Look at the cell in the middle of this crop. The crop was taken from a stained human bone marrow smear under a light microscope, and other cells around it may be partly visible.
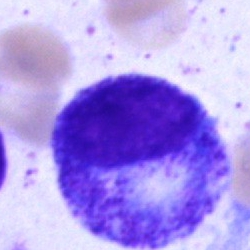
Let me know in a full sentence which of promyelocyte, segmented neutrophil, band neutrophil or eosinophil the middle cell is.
By classification, the middle cell of this crop is a promyelocyte.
